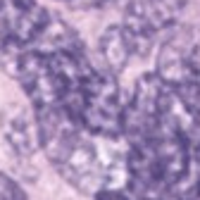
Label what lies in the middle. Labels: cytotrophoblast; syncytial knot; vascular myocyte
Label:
syncytial knot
